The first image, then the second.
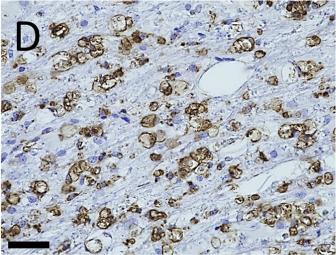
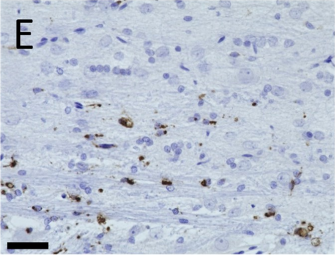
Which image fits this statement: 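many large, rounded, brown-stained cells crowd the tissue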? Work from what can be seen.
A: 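Second image: only a few small brown dots and small brown cells among blue nuclei. First image: numerous large rounded cells with brown, foamy cytoplasm fill much of the field.
The first image.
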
